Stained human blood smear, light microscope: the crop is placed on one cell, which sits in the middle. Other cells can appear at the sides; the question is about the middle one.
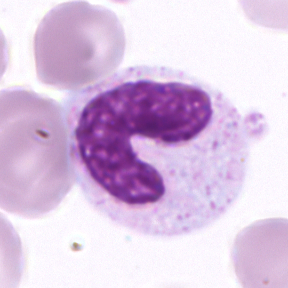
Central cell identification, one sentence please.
What the crop centres on is a band neutrophil.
